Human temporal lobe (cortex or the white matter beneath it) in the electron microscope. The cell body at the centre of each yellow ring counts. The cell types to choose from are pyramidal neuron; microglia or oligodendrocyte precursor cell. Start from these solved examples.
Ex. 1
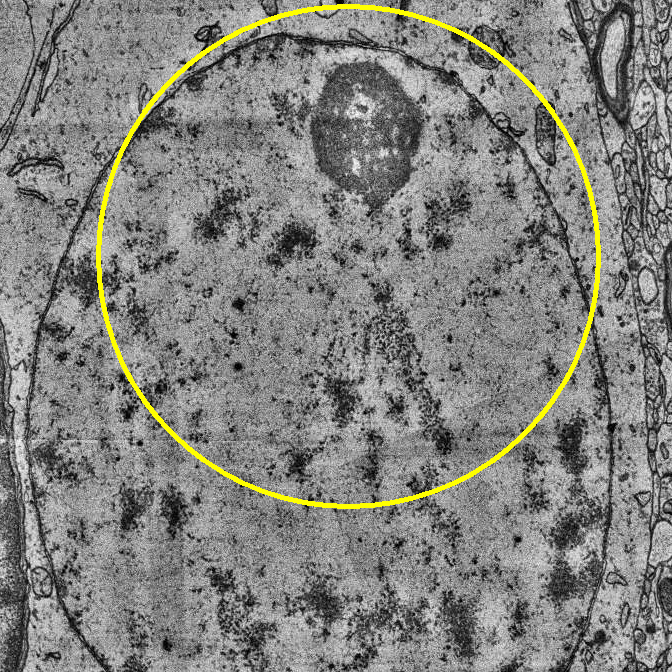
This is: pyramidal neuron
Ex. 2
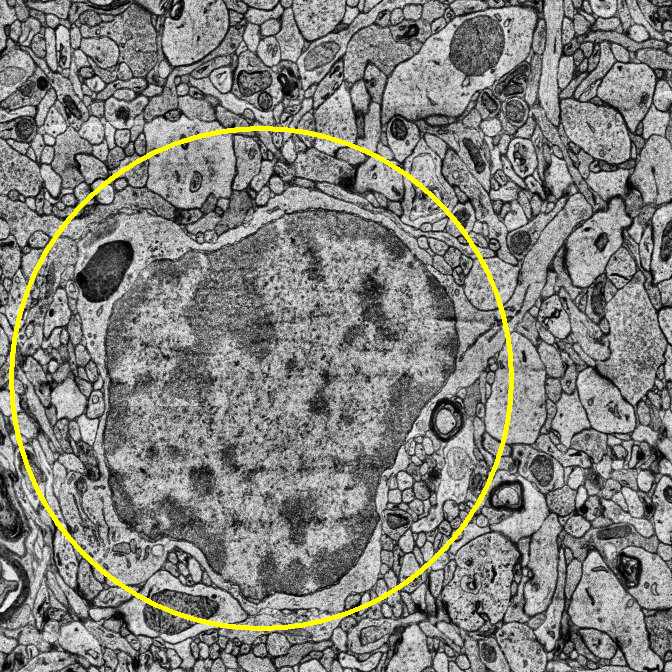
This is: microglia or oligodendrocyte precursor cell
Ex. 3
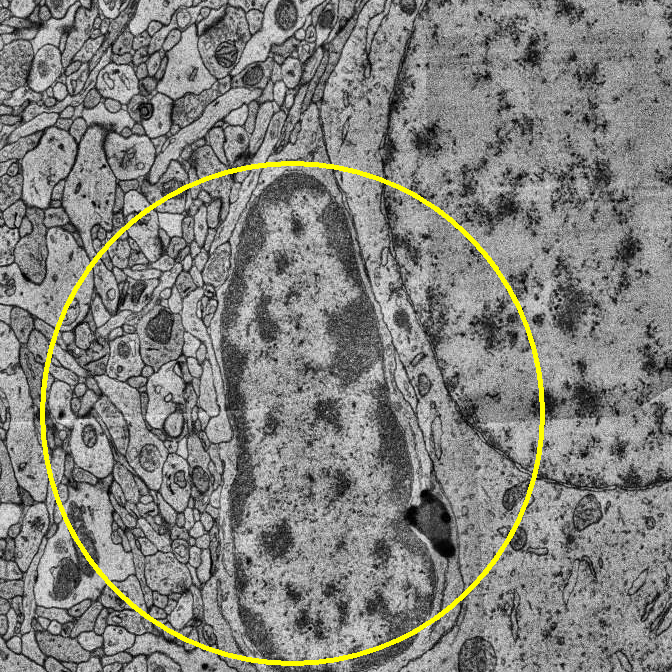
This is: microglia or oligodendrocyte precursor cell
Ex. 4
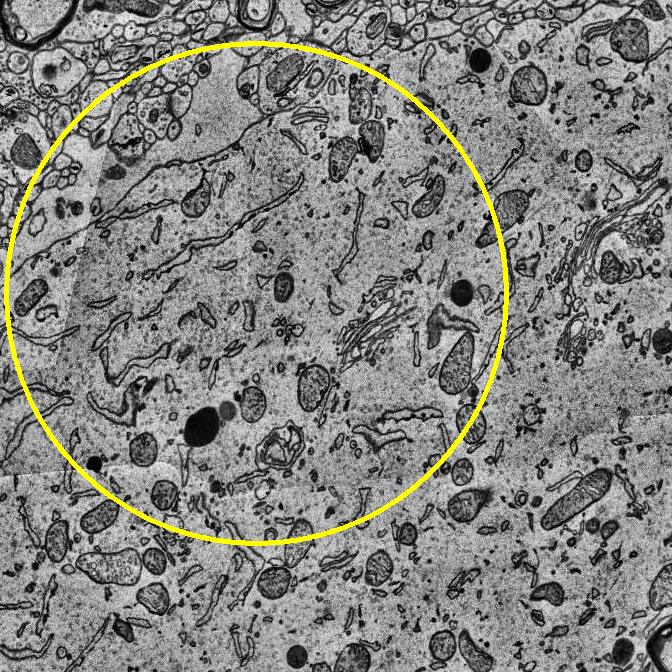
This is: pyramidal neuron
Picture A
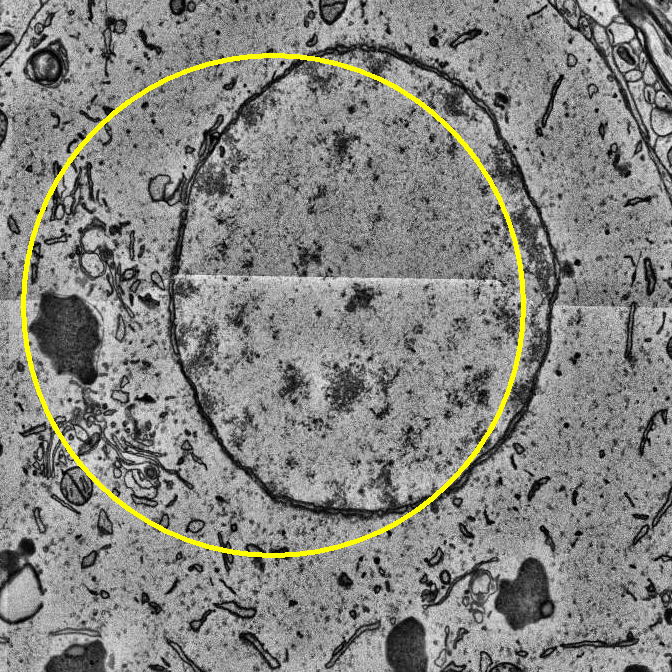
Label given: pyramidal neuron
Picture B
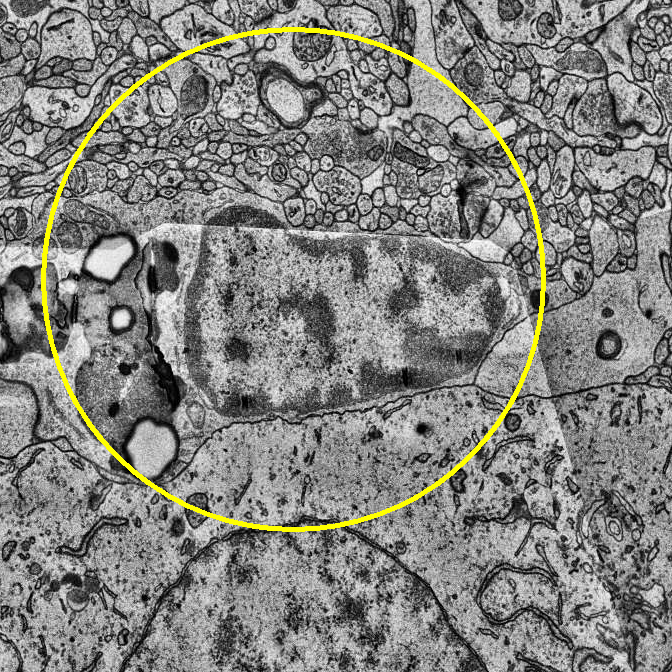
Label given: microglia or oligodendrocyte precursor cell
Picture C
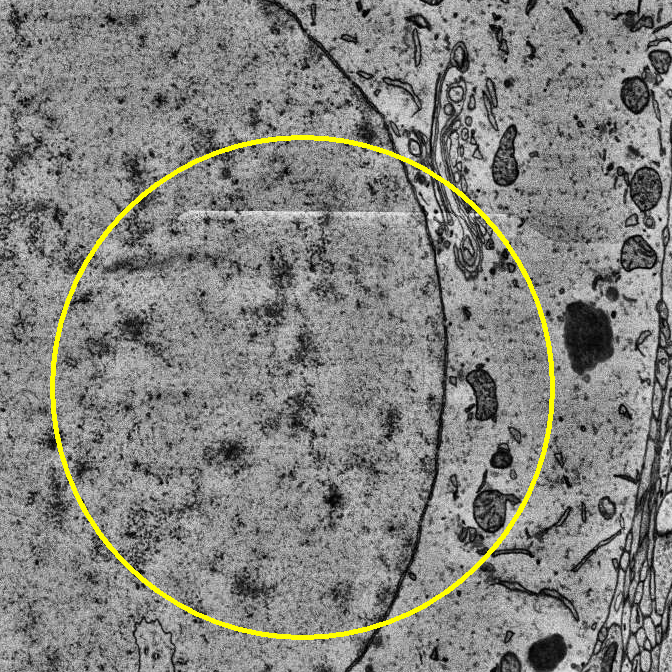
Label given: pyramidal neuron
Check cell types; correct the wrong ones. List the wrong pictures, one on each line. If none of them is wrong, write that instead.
No label is wrong.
